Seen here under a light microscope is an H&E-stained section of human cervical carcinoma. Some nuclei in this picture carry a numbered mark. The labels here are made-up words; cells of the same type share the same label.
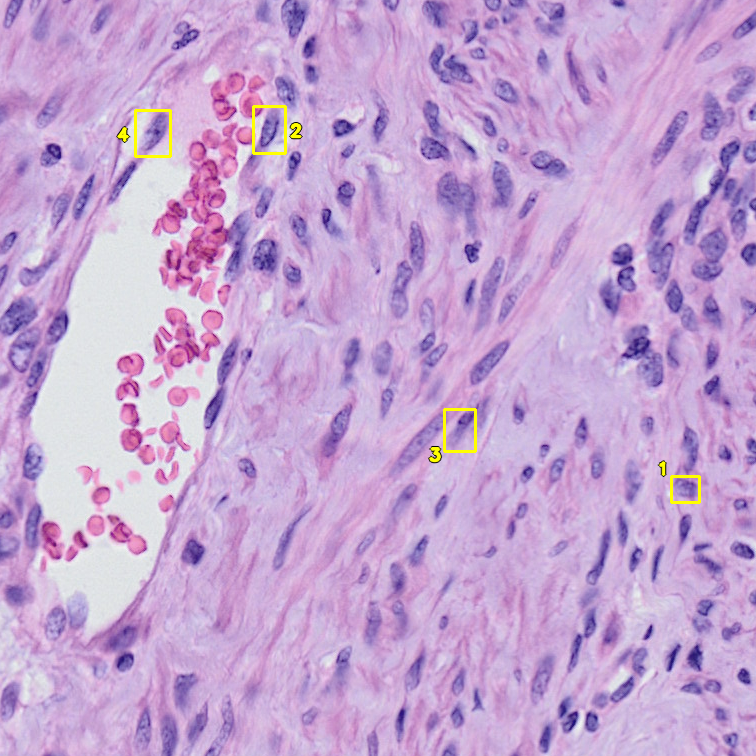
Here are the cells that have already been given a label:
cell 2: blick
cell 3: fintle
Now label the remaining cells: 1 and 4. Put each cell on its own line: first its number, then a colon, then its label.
1: fintle
4: blick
